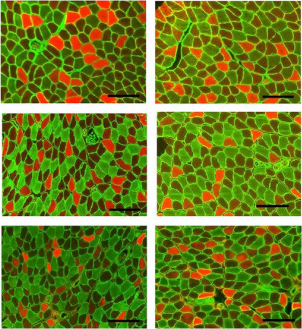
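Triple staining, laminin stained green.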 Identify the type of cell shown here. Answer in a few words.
Muscle fibers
